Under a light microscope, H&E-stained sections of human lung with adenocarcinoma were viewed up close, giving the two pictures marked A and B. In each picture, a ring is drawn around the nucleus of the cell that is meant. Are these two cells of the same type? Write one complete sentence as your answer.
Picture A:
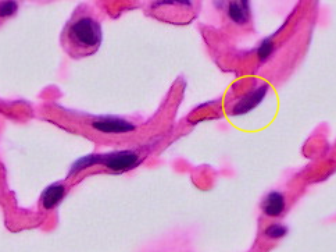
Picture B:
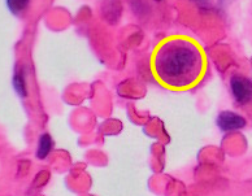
No. Picture A shows a type I pneumocyte, but picture B shows a “macrophage or monocyte”.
